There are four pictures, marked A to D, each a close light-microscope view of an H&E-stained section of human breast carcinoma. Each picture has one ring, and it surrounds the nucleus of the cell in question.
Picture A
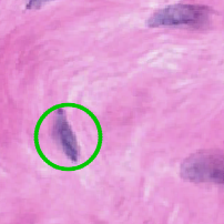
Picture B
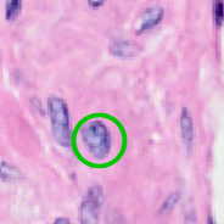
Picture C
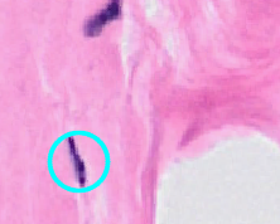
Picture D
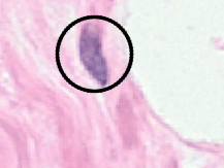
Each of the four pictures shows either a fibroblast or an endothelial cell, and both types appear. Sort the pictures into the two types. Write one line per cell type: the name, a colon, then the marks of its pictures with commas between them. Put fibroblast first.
fibroblast: A, C, D
endothelial cell: B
